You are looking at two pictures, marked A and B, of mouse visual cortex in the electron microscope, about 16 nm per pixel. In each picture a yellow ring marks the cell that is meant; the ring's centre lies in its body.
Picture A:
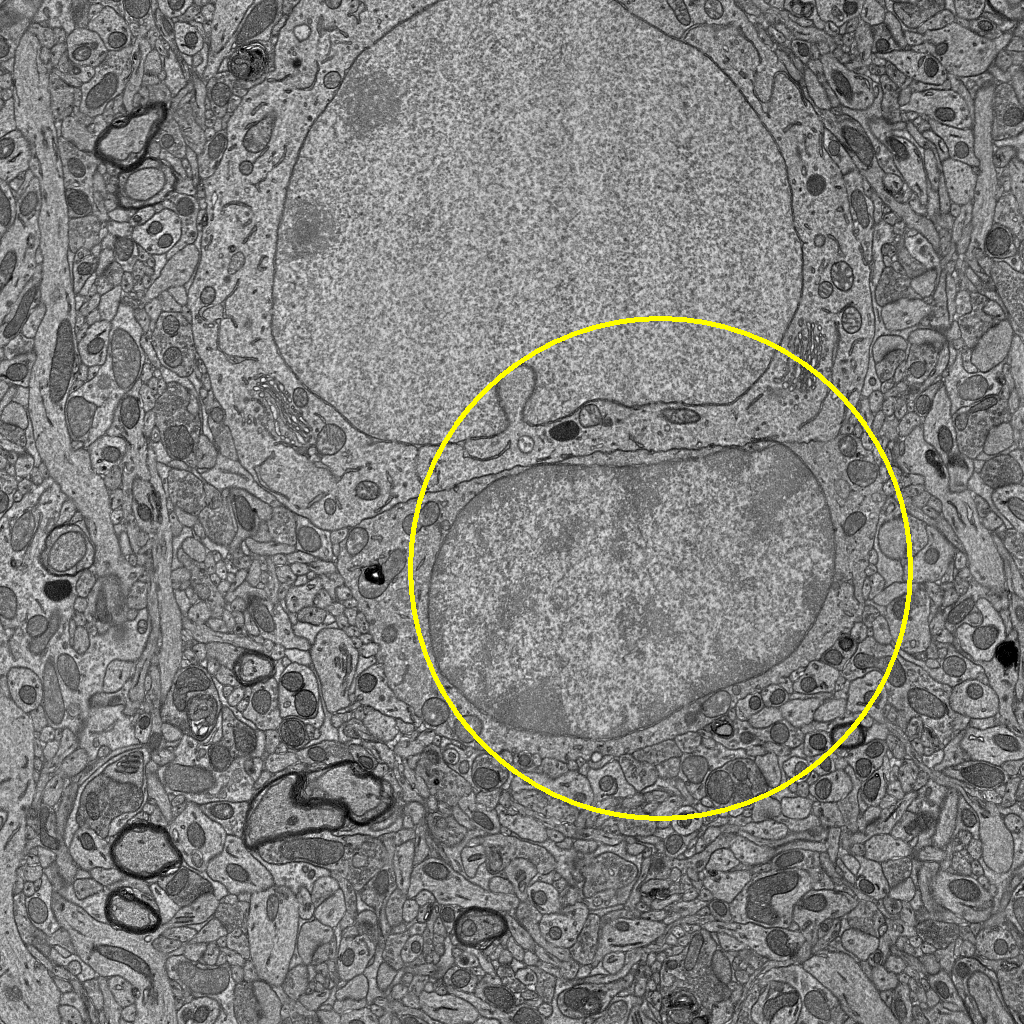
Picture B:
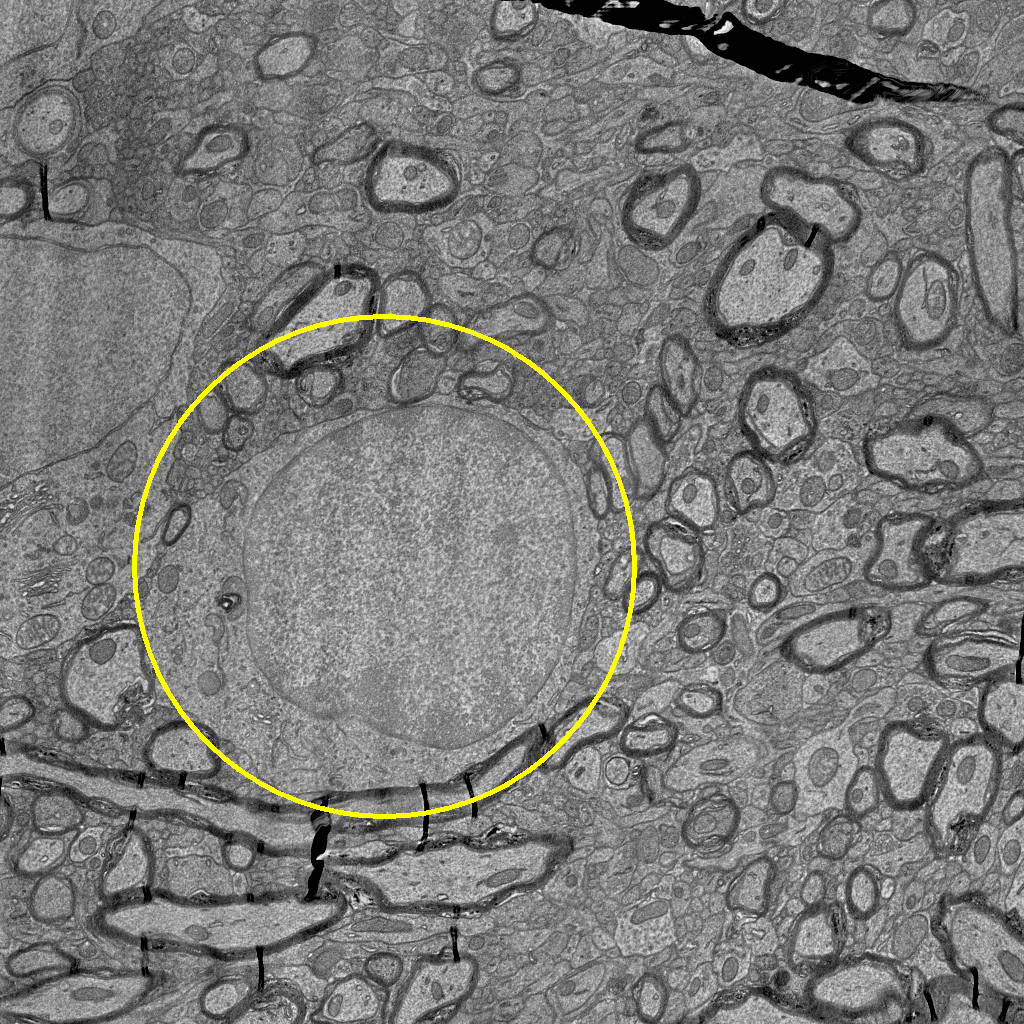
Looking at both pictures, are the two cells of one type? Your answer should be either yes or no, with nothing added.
yes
